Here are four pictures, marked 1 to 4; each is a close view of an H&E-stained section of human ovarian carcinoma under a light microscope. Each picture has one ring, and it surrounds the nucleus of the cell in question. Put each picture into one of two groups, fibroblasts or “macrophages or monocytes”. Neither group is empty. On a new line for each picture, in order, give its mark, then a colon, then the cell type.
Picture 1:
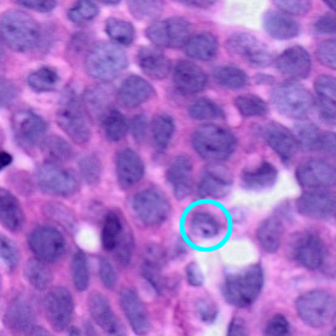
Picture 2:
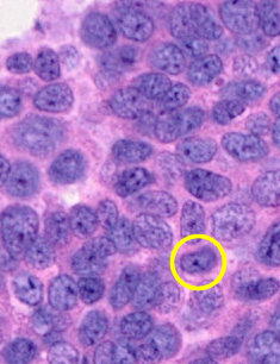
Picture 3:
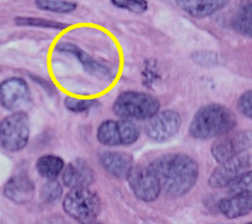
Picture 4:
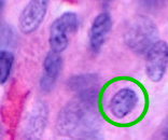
1: macrophage or monocyte
2: macrophage or monocyte
3: fibroblast
4: macrophage or monocyte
